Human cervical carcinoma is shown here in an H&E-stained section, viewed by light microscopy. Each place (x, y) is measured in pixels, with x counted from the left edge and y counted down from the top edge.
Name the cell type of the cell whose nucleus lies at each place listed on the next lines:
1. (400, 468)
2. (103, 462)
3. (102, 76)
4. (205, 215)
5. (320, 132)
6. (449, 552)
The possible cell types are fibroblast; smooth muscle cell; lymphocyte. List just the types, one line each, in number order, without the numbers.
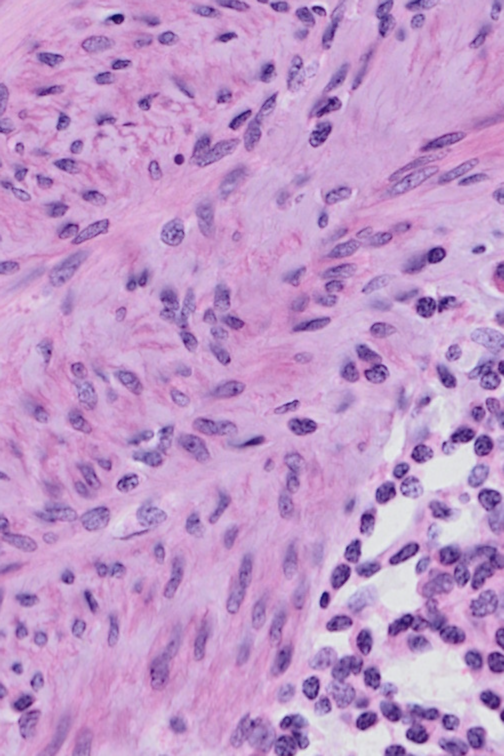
lymphocyte
smooth muscle cell
smooth muscle cell
smooth muscle cell
lymphocyte
lymphocyte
